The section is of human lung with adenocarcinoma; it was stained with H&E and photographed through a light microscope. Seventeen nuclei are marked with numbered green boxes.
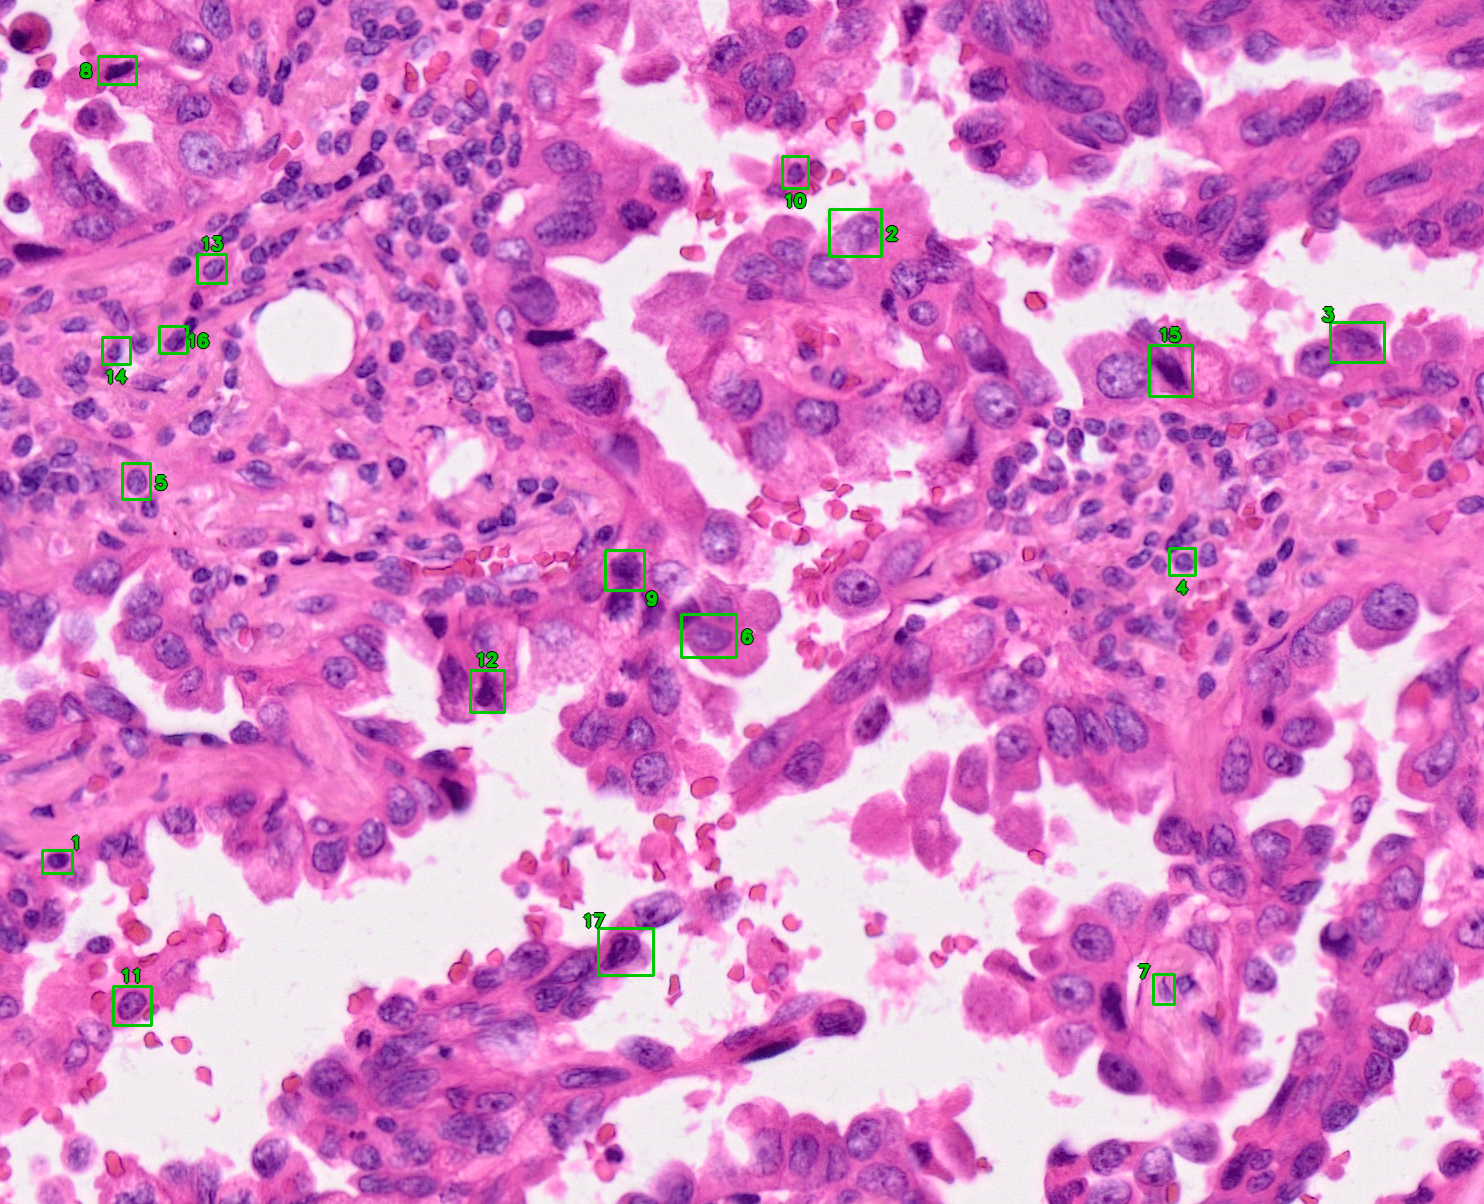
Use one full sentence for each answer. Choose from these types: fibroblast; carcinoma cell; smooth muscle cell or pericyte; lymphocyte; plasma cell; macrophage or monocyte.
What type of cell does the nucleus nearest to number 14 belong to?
Number 14 lies closest to the nucleus of a lymphocyte.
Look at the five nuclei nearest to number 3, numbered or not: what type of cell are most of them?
Around number 3, most of the five nearest nuclei are those of carcinoma cells.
